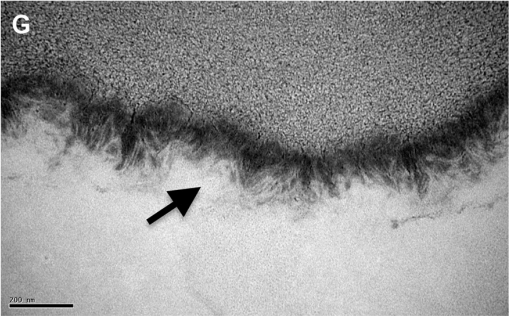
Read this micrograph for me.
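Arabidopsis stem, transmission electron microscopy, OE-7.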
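Finely granular wall material occupies the upper part of the field. Its lower boundary is covered by a continuous electron-dense band that follows an undulating course. The outer side of the band is irregular and fringed, with fibrous, brush-like strands extending into the pale zone below. A few faint thin strands lie scattered in the pale region beyond the surface.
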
